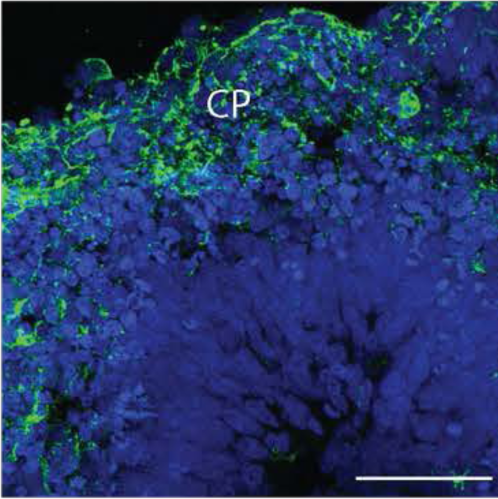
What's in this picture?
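The green threads are fine, wavy and branching, forming a loose meshwork concentrated in the upper part of the section. A few rounded green-outlined cell bodies sit near the surface. Deeper down, the nuclei are elongated and crowded, with little green among them.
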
